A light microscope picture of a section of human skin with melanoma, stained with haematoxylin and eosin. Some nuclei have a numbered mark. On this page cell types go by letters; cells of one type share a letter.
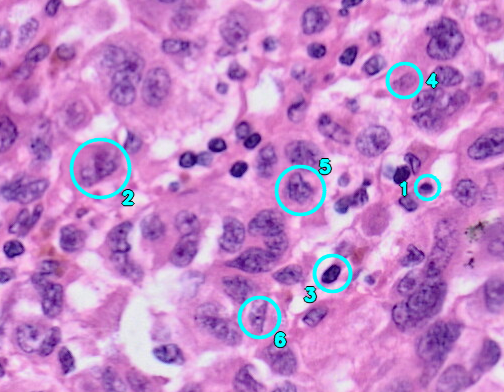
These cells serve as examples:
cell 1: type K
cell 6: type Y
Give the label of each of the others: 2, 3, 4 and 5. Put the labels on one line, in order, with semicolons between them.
type Y; type K; type Y; type Y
